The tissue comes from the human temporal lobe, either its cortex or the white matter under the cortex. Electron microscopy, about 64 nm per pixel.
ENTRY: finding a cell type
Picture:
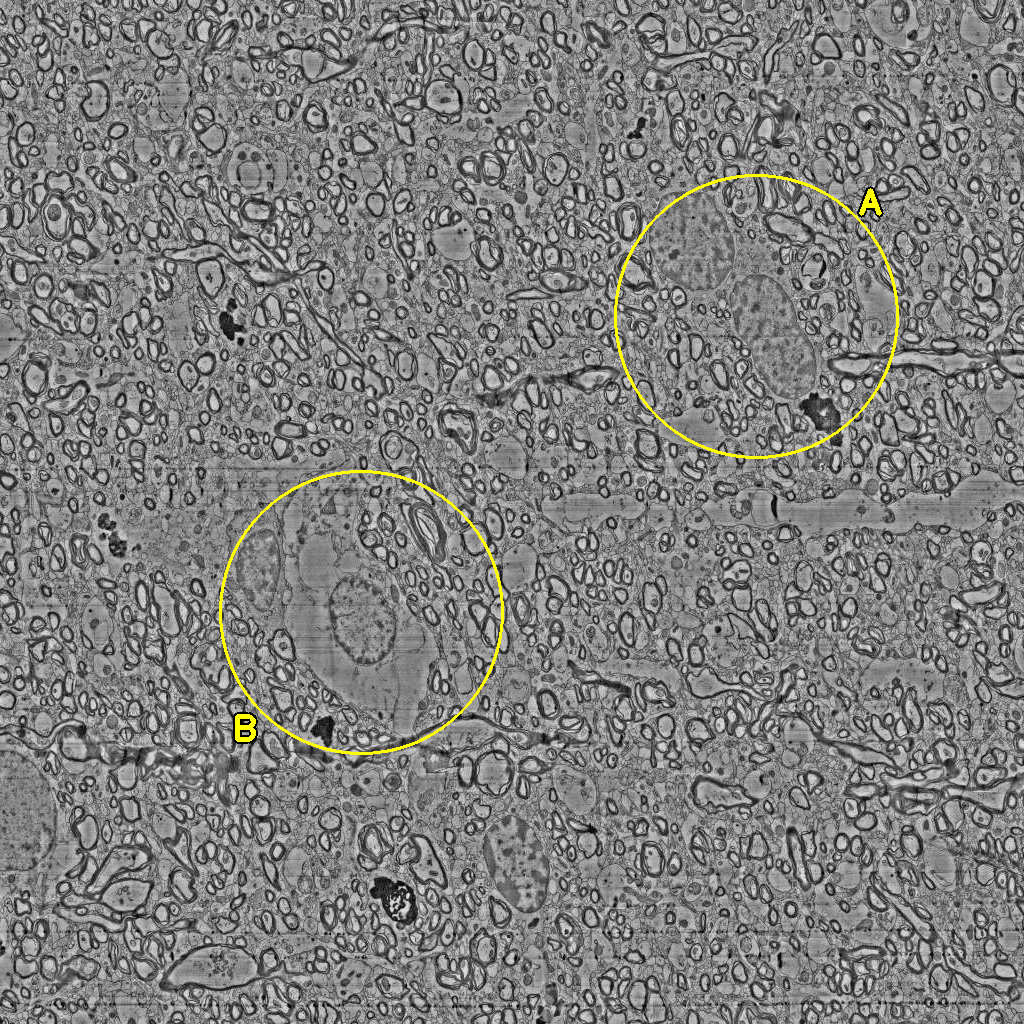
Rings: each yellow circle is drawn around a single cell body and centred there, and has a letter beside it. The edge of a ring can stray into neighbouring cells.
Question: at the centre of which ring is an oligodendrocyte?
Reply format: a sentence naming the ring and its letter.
The answer is ring A, the one centred on the cell asked for.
